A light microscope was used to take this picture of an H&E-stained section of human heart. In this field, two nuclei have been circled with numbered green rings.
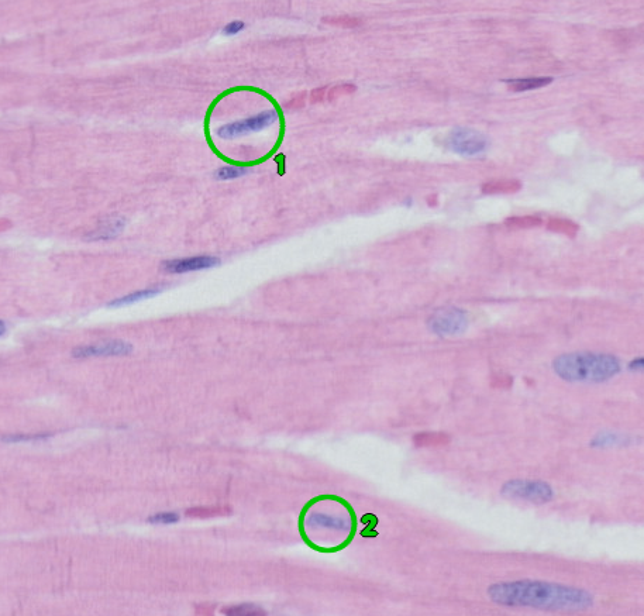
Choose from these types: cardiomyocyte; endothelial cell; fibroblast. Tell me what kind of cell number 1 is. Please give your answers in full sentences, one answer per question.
The numbered cell 1 in this field is a fibroblast.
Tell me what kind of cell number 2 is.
The cell carrying label 2 is identified as a cardiomyocyte.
